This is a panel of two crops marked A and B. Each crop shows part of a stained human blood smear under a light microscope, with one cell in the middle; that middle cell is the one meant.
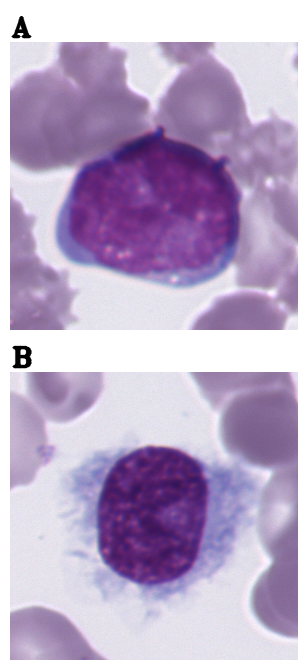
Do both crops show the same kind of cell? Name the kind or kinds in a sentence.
No, it is crop A that shows a blast, and crop B that shows a hairy cell.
